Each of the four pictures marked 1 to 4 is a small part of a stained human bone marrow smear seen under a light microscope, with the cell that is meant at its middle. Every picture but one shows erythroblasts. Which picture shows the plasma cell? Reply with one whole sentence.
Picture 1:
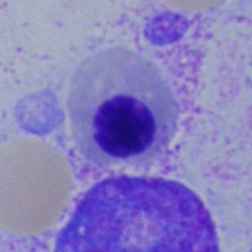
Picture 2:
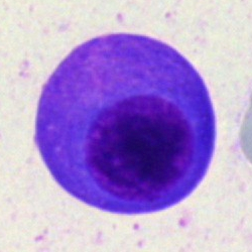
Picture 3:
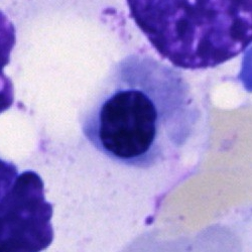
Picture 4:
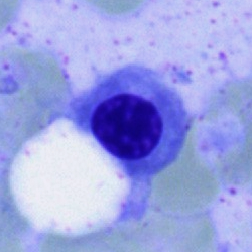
Picture 2 is the one that shows the plasma cell.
